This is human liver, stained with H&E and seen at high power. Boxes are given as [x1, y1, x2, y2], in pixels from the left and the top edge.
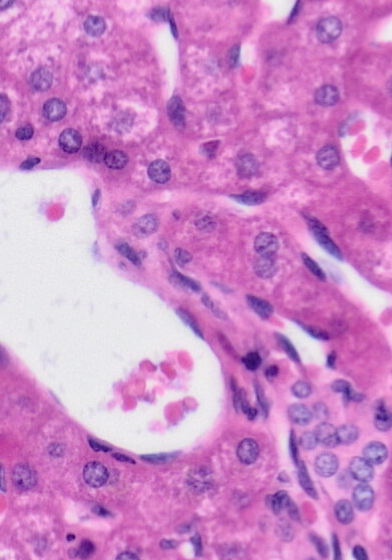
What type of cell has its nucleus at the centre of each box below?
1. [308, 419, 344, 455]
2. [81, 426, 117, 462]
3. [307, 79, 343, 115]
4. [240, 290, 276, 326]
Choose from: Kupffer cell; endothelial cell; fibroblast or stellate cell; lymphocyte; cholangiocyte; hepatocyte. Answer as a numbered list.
1. cholangiocyte
2. fibroblast or stellate cell
3. hepatocyte
4. fibroblast or stellate cell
